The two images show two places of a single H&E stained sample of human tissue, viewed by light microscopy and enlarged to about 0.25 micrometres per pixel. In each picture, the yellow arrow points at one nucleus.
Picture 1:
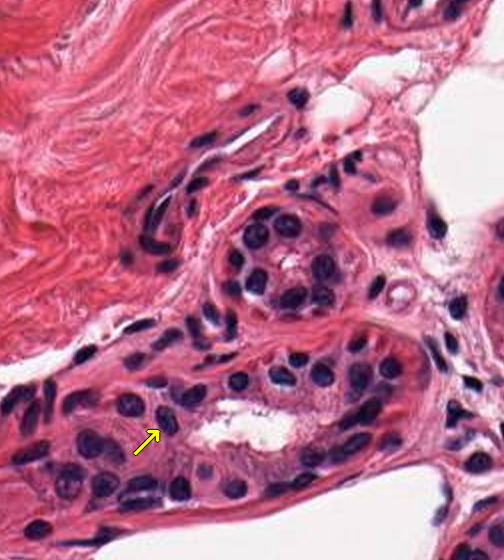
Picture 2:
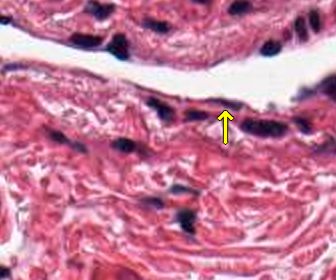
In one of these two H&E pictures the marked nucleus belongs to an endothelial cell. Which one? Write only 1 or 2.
2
